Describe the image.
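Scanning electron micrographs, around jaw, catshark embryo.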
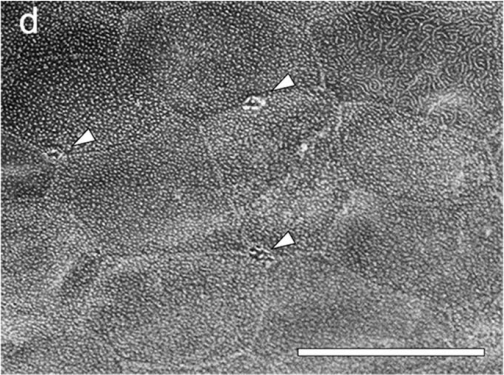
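The skin surface is seen from above as a mosaic of polygonal epithelial cells with faint borders and a finely textured apical surface. Here and there, at points where cells meet, small apical openings appear as pits with tiny projections inside.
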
